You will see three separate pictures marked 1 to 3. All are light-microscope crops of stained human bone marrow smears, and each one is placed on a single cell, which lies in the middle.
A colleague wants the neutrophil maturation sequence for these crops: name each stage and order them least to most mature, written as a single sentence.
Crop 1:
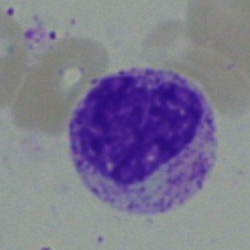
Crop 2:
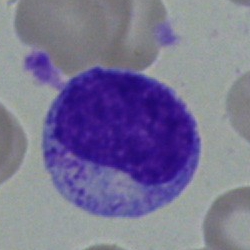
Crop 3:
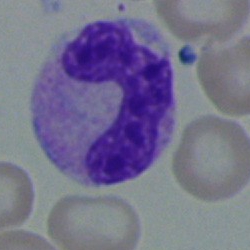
Listed in order of increasing maturity, the crops are crop 1 (a myelocyte), crop 2 (a metamyelocyte) and crop 3 (a band neutrophil).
